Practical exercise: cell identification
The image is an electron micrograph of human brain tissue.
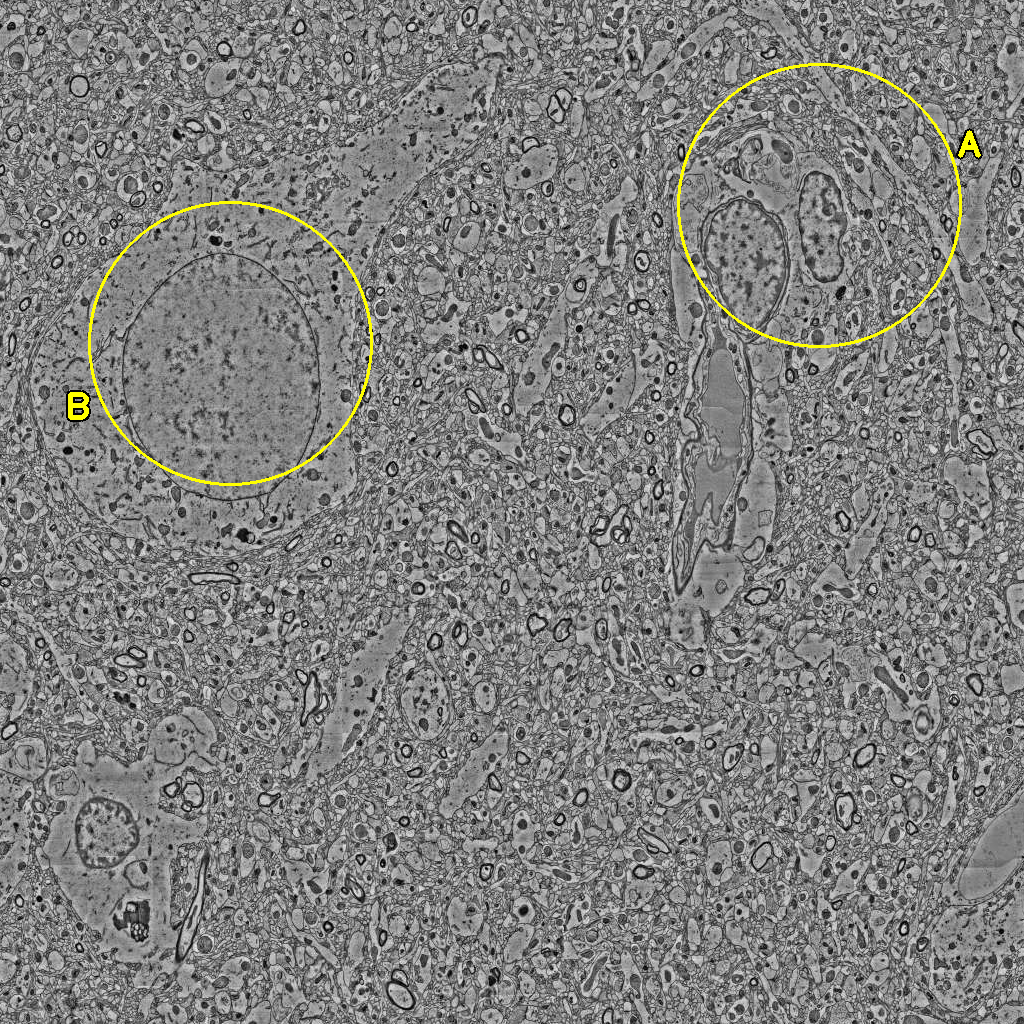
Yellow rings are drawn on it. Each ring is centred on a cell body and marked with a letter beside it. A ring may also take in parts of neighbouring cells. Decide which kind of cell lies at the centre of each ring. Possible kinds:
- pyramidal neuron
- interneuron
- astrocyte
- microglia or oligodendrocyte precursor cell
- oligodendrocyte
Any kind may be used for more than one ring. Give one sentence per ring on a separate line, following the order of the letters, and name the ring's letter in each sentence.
The cell in the middle of ring A is a microglial cell or oligodendrocyte precursor cell.
The cell in the middle of ring B is a pyramidal neuron.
